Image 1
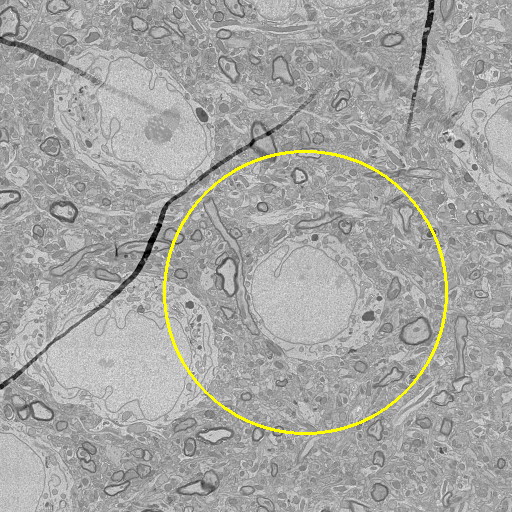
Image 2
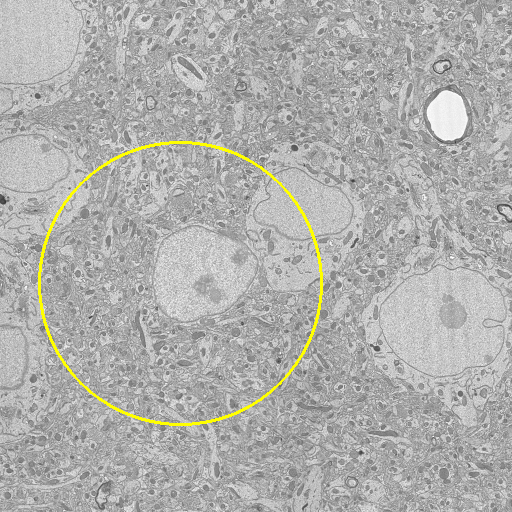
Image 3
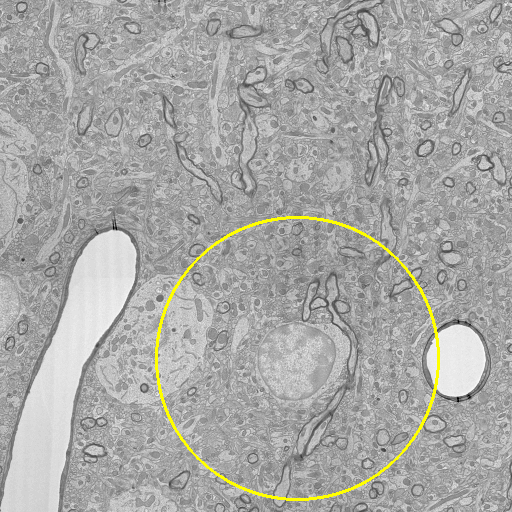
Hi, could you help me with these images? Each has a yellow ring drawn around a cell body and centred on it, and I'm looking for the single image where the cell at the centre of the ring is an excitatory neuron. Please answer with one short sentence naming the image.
It is Image 1 that has it at the centre of its ring.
